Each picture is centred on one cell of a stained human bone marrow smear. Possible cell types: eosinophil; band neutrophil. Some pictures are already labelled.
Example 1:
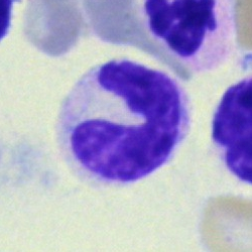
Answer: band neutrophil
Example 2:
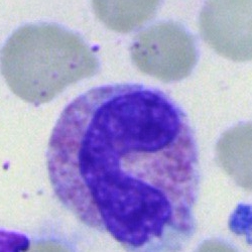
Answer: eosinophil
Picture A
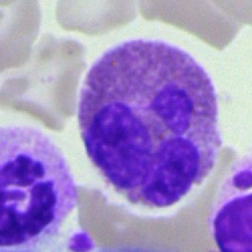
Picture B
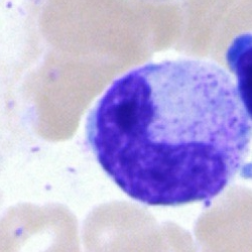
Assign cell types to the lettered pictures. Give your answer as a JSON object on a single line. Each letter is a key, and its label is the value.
{"A": "eosinophil", "B": "band neutrophil"}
